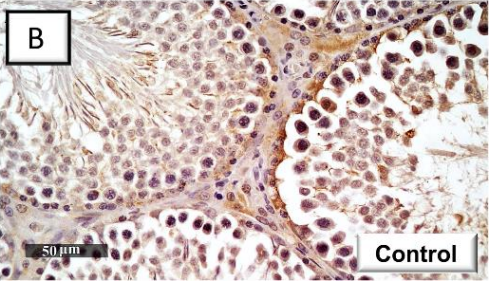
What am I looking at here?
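Testis tissue with several cross-sectioned tubular profiles filled with layered round cells. Light brown staining is seen in cytoplasm, most evident near the tubule borders and in the interstitial spaces between tubules. The narrow interstitium contains a few flattened and scattered cells.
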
